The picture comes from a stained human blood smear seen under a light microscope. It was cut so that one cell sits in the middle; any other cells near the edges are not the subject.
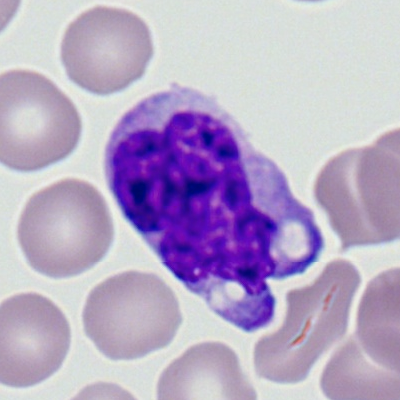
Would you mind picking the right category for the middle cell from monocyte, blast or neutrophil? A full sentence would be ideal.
The cell centered in this field of view is a monocyte.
